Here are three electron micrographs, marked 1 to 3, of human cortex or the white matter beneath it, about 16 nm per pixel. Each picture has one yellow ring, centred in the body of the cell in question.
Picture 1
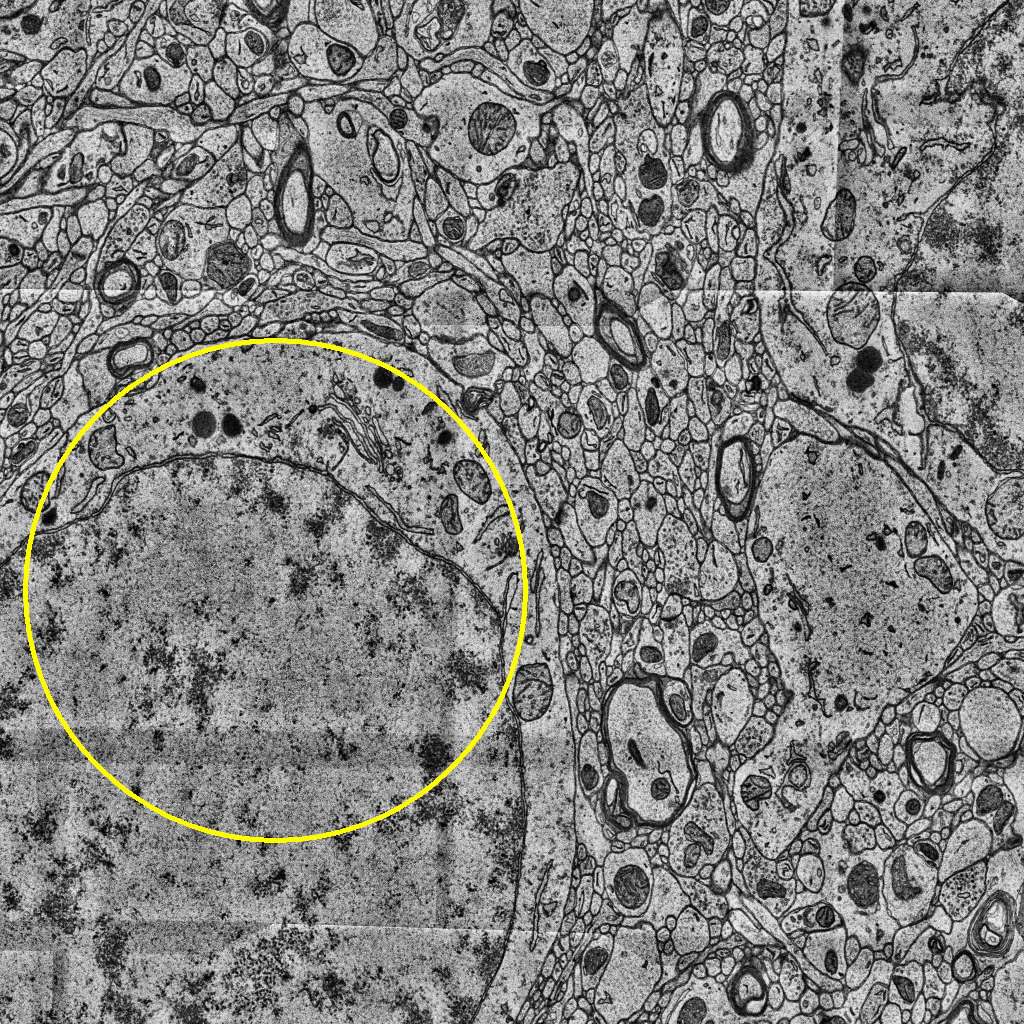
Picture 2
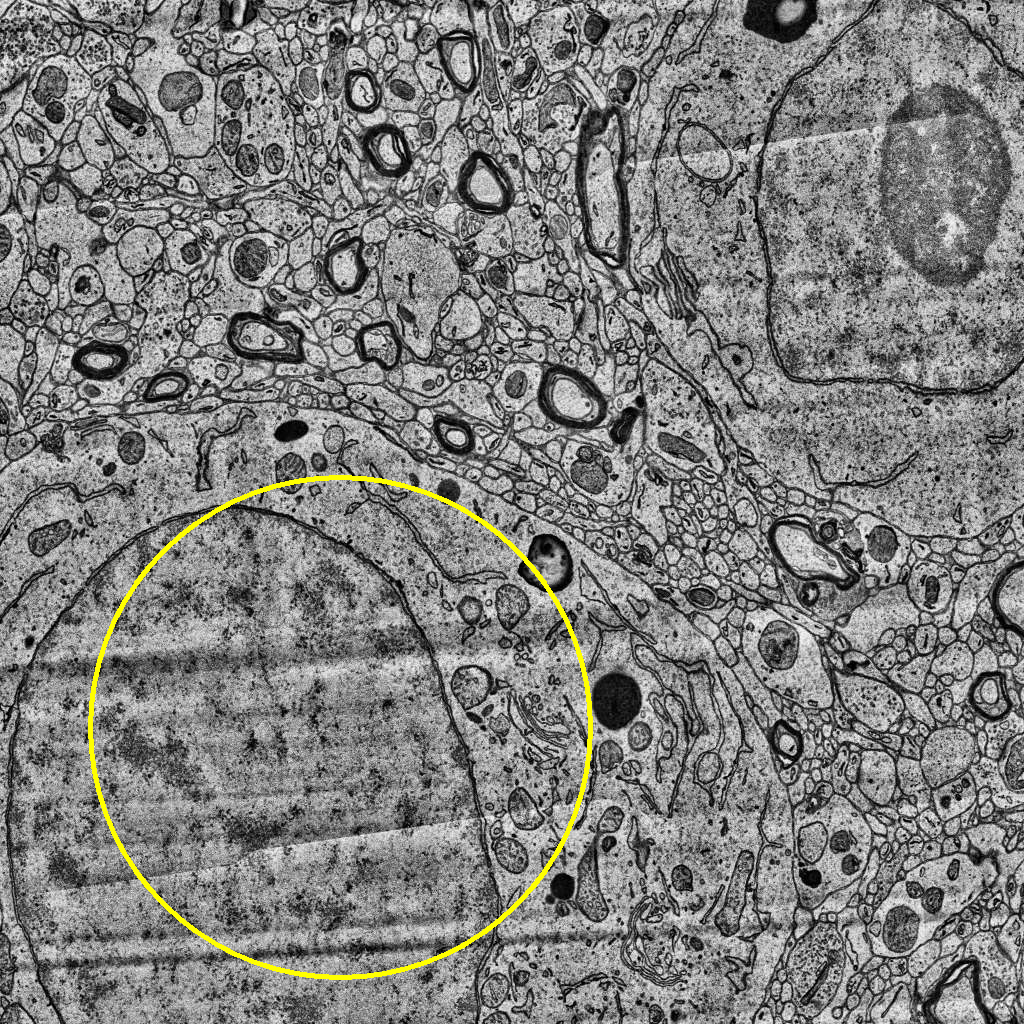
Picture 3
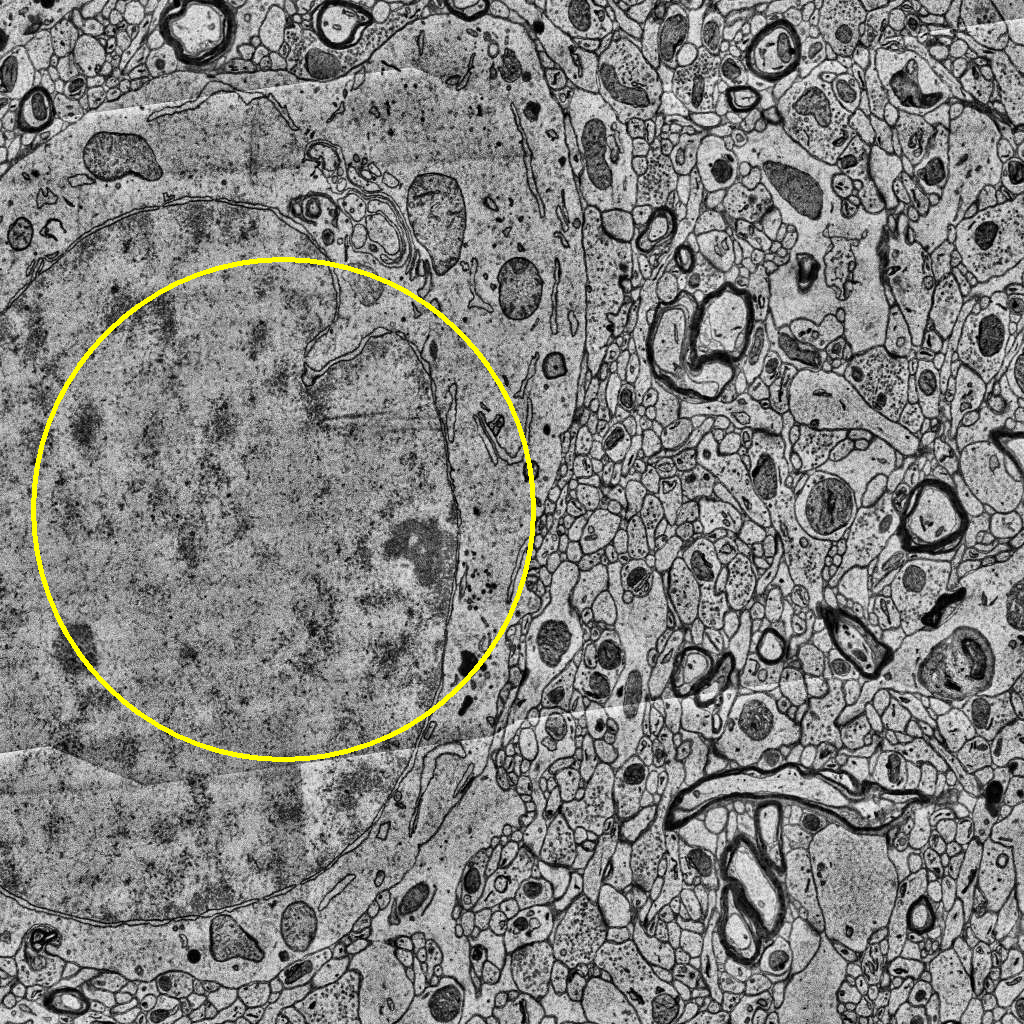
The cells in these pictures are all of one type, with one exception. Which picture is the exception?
All pictures except 3 show pyramidal neurons; picture 3 shows an interneuron.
